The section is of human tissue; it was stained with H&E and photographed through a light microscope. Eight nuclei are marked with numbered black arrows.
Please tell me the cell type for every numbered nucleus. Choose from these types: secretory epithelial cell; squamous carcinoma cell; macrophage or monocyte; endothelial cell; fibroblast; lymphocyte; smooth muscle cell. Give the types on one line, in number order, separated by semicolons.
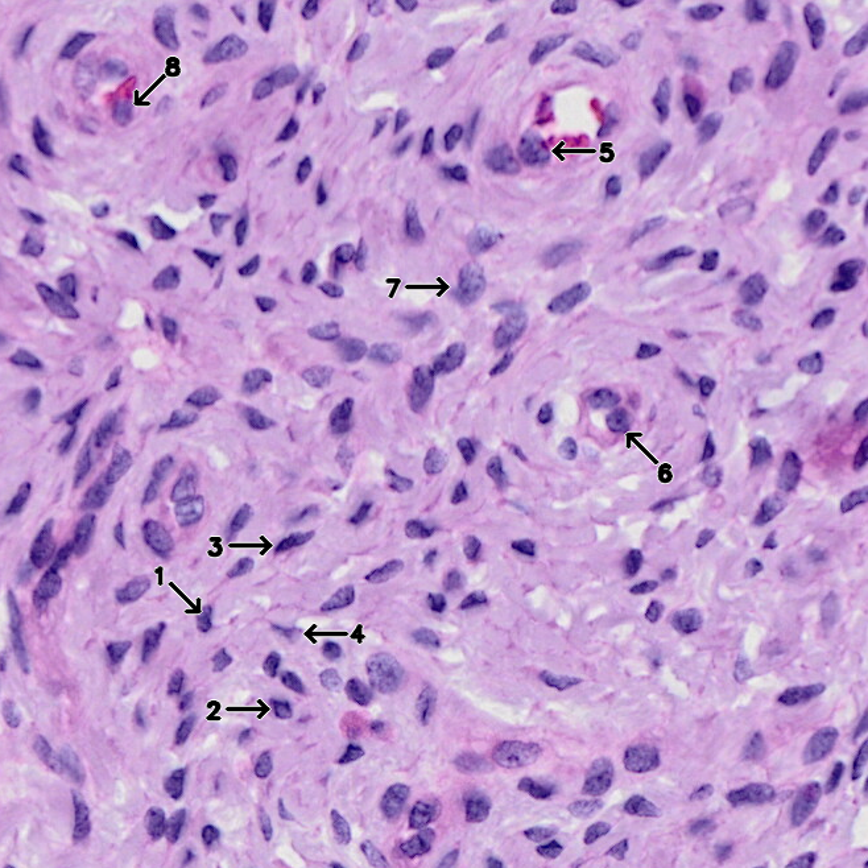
fibroblast; fibroblast; fibroblast; fibroblast; endothelial cell; endothelial cell; fibroblast; endothelial cell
